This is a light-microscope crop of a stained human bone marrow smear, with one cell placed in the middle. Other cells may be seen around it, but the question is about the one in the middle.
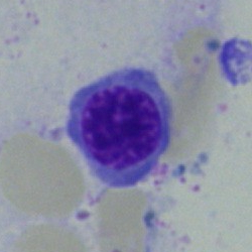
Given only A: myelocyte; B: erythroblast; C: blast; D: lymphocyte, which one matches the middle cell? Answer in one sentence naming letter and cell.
The central cell is an erythroblast, which makes option B the right answer.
